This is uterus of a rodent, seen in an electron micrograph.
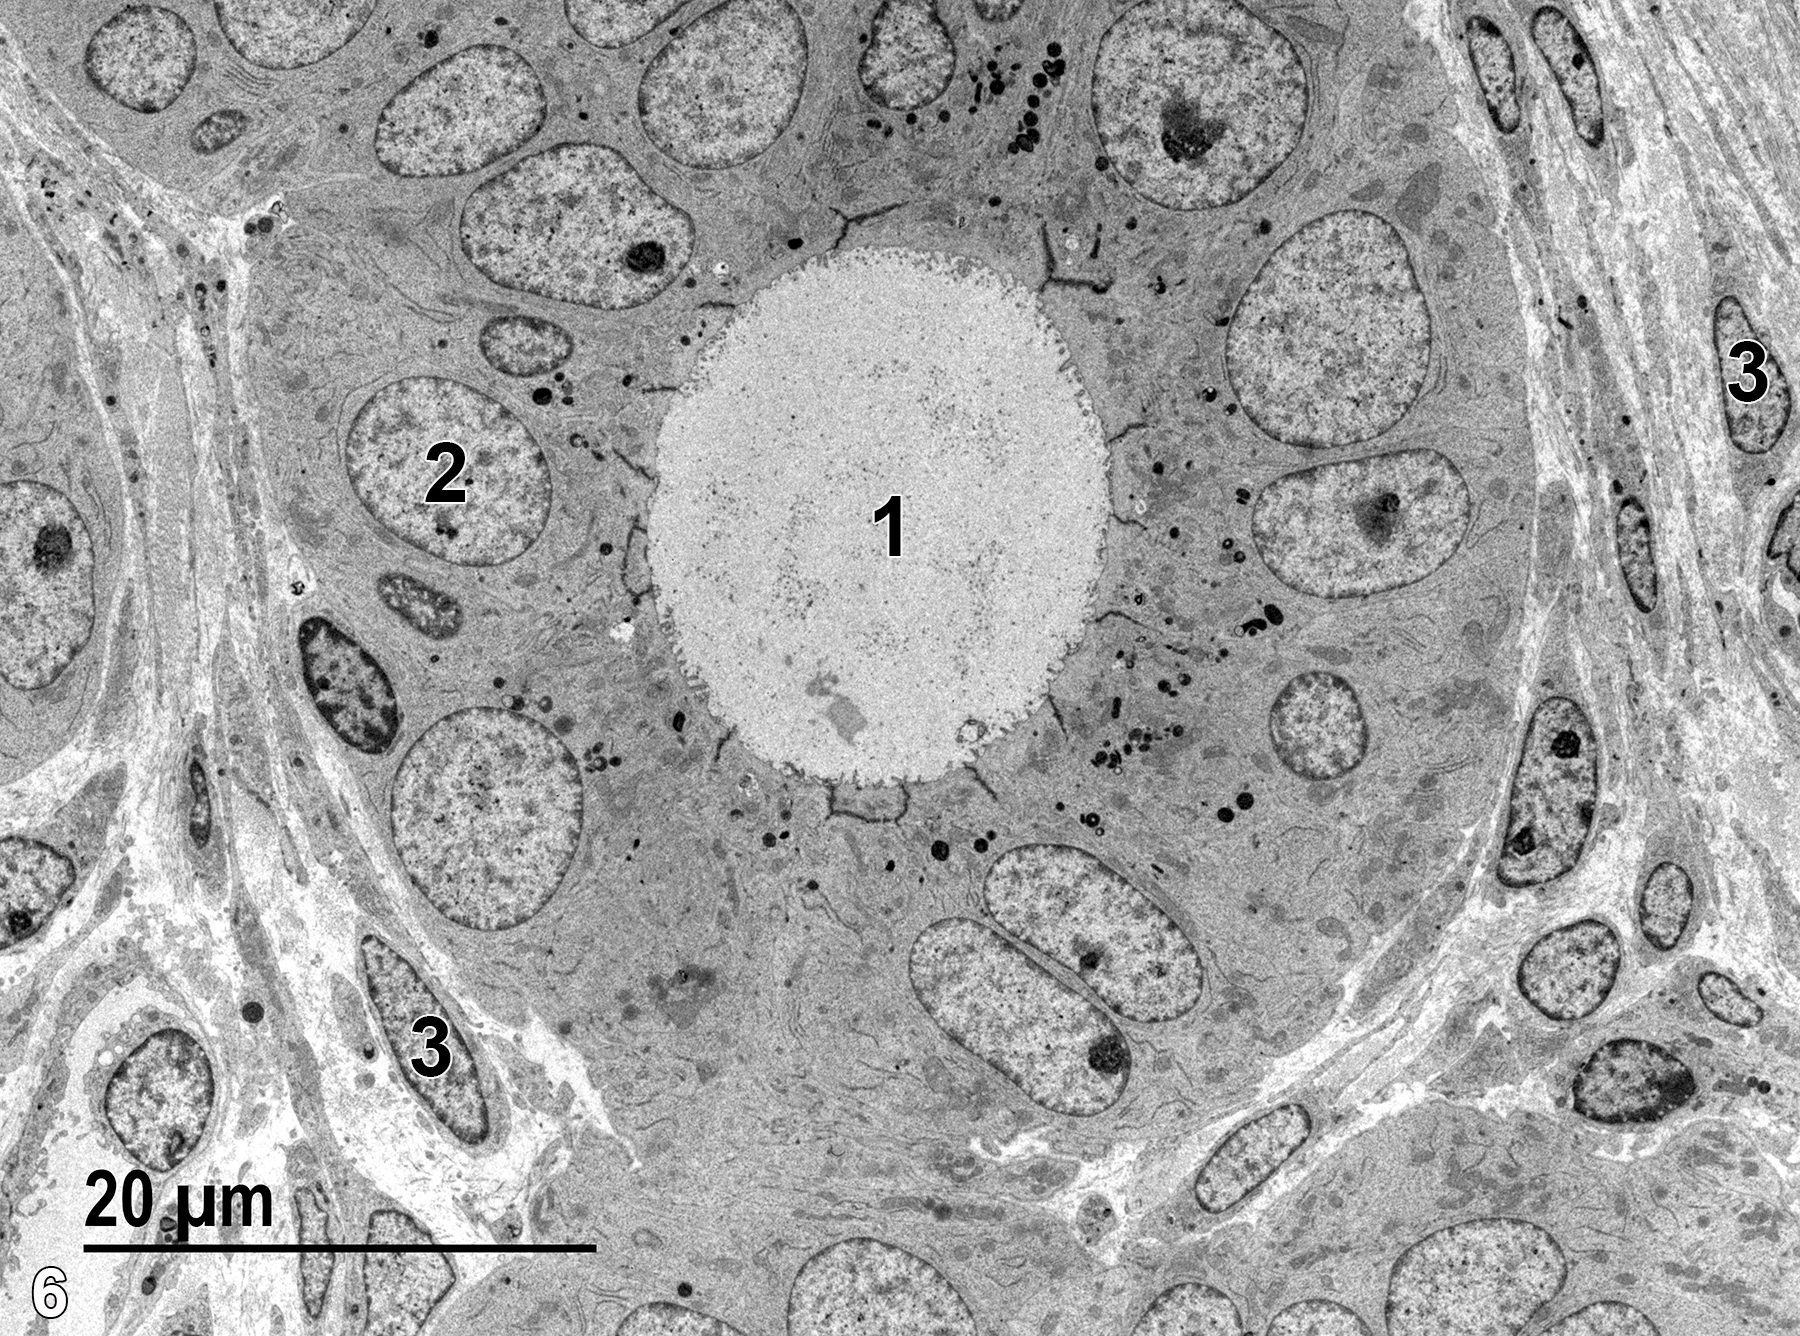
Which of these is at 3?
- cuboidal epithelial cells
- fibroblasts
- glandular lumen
fibroblasts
